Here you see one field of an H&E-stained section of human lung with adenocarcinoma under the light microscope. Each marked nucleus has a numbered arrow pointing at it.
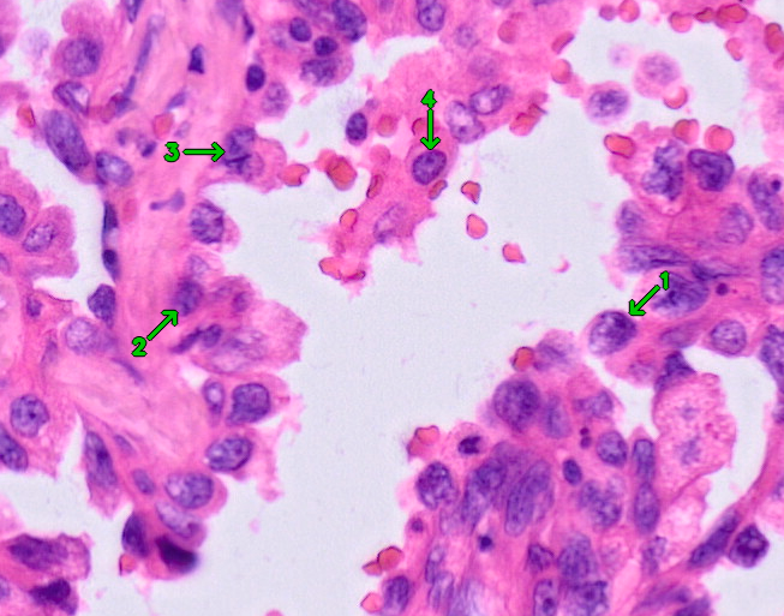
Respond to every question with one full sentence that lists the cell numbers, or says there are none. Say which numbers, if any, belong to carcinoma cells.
Identification: the cells with numbers 1, 2 and 3 are carcinoma cells.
